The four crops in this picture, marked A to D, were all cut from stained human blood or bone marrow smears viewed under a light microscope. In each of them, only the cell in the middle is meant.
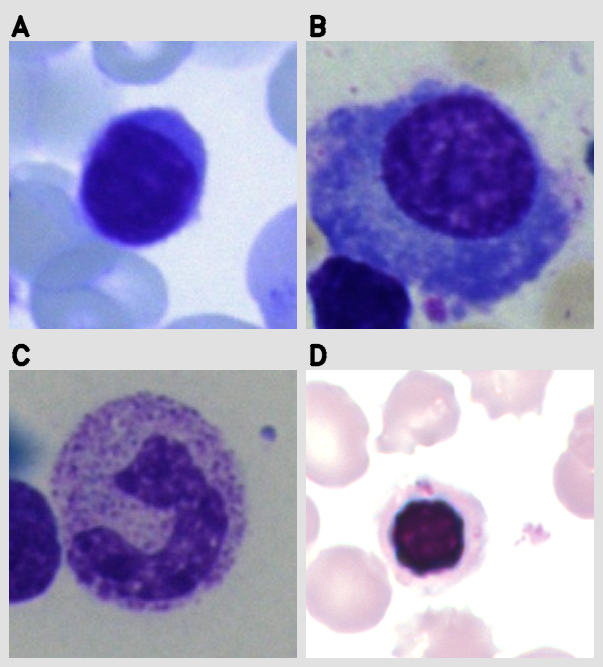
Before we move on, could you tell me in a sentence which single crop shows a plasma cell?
The crop marked B is the one in which a plasma cell is shown.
